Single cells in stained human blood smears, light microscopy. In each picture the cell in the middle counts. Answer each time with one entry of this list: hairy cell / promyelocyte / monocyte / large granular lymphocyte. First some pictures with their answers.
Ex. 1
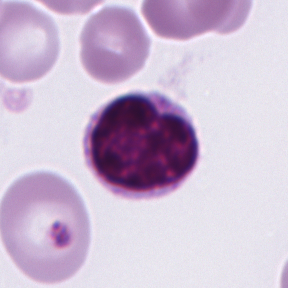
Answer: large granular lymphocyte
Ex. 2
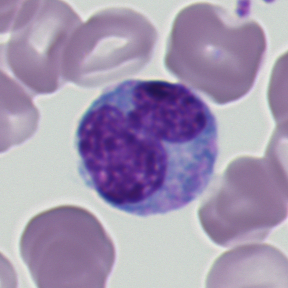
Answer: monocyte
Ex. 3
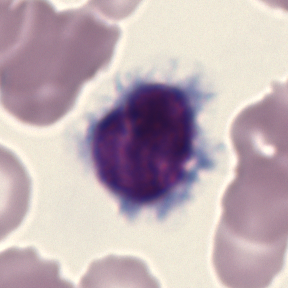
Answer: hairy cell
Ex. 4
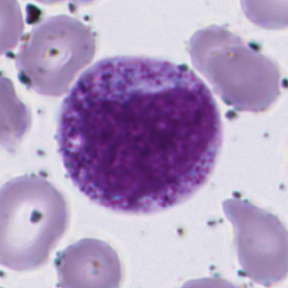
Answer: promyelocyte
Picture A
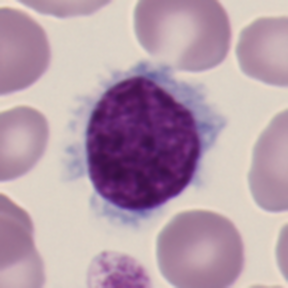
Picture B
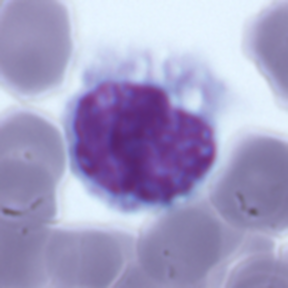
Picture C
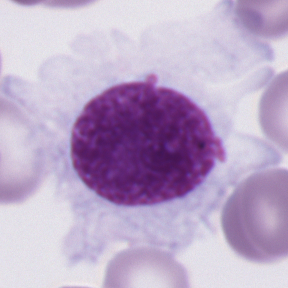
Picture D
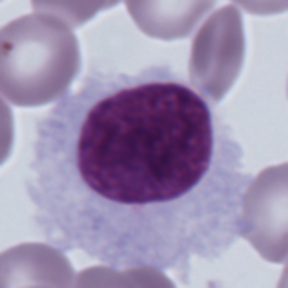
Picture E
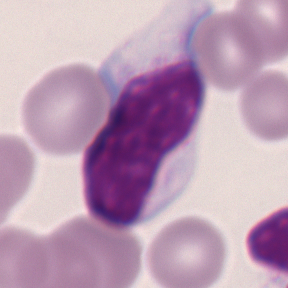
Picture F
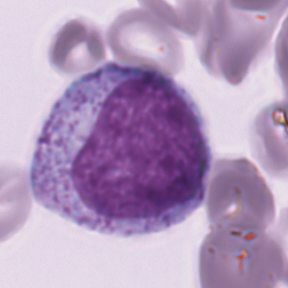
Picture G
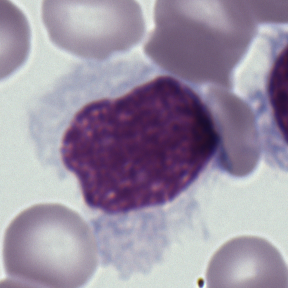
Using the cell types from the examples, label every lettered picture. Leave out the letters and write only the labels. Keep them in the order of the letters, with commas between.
hairy cell, monocyte, hairy cell, hairy cell, large granular lymphocyte, promyelocyte, hairy cell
